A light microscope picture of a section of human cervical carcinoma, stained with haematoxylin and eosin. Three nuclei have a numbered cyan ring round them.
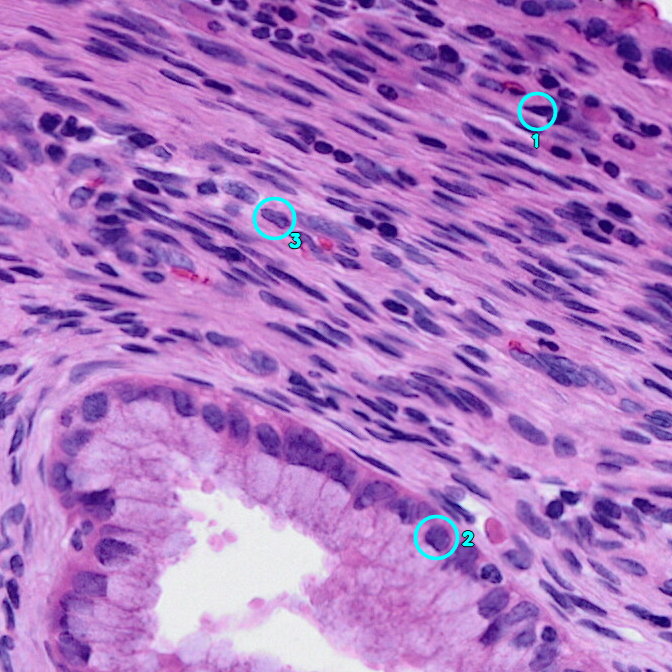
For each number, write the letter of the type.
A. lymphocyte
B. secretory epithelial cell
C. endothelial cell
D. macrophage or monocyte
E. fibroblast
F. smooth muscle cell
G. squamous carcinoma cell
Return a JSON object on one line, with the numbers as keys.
{"1": "A", "2": "B", "3": "C"}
